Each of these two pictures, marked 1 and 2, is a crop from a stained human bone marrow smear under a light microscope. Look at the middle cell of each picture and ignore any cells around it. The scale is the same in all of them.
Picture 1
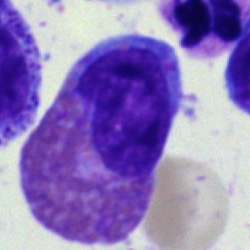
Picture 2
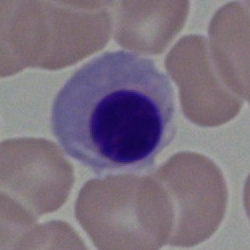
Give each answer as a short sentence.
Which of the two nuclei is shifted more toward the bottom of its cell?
In picture 2 the nucleus is shifted more toward the bottom.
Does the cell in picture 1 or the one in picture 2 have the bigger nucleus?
Picture 1 shows the larger nucleus; it covers about 2.5 times the area of the nucleus in picture 2.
